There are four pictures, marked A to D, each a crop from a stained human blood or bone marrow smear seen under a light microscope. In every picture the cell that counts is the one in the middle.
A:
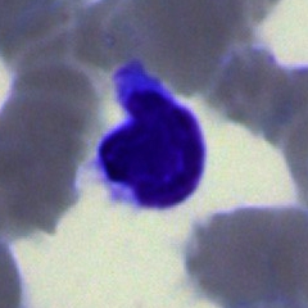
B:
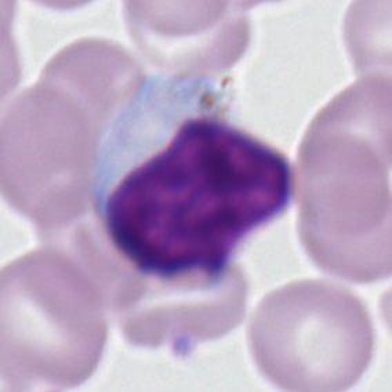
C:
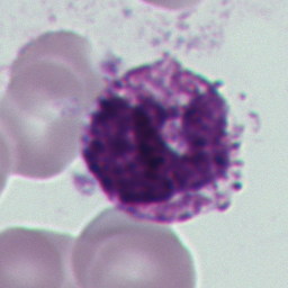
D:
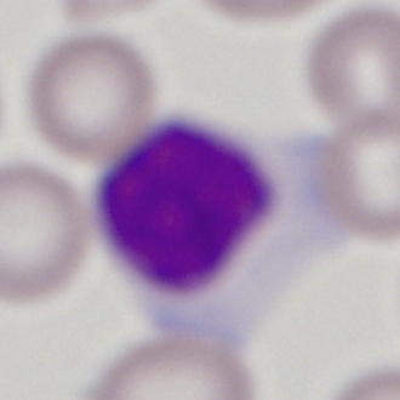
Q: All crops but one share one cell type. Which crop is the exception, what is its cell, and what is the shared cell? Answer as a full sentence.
Although the other crops all show lymphocytes, crop C shows a basophil.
